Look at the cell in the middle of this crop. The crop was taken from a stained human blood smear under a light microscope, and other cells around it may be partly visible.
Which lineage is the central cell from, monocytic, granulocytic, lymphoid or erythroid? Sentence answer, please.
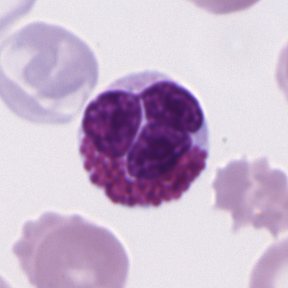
Included in the granulocytic lineage is the cell at the middle of the crop.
